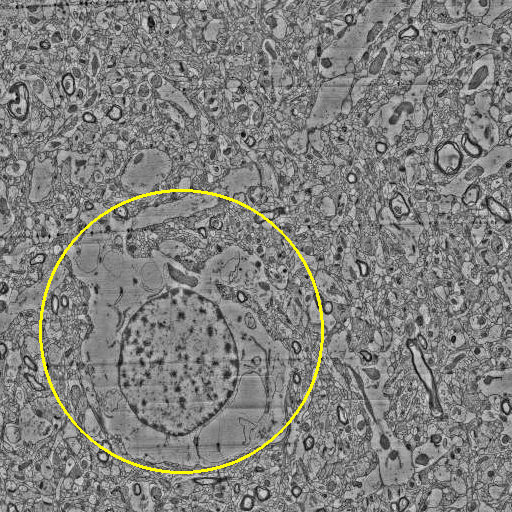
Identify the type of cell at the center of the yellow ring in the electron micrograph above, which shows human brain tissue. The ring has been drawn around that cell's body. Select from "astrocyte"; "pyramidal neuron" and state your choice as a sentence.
The yellow ring is centered on the body of an astrocyte.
